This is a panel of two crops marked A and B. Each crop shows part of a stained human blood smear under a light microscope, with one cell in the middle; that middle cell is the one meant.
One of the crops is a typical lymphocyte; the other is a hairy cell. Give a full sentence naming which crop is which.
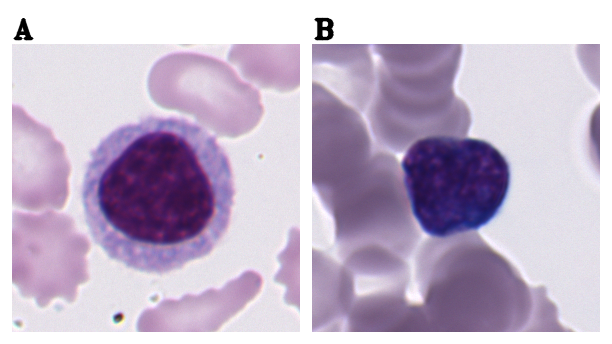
Recognised in crop A is a hairy cell, and recognised in crop B is a typical lymphocyte.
